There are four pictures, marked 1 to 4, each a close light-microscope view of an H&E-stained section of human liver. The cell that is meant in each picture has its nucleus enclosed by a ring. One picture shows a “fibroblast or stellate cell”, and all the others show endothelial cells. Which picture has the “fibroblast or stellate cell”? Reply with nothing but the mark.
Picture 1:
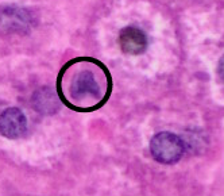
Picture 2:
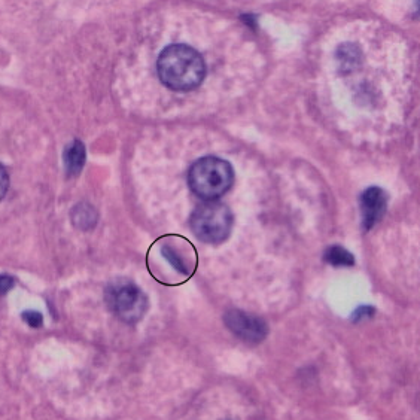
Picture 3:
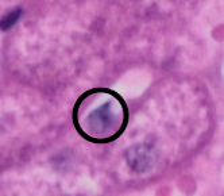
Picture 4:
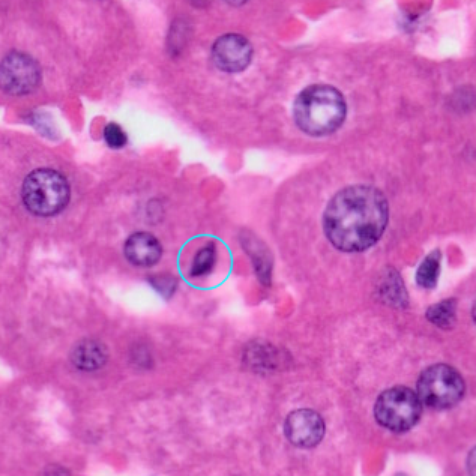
4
